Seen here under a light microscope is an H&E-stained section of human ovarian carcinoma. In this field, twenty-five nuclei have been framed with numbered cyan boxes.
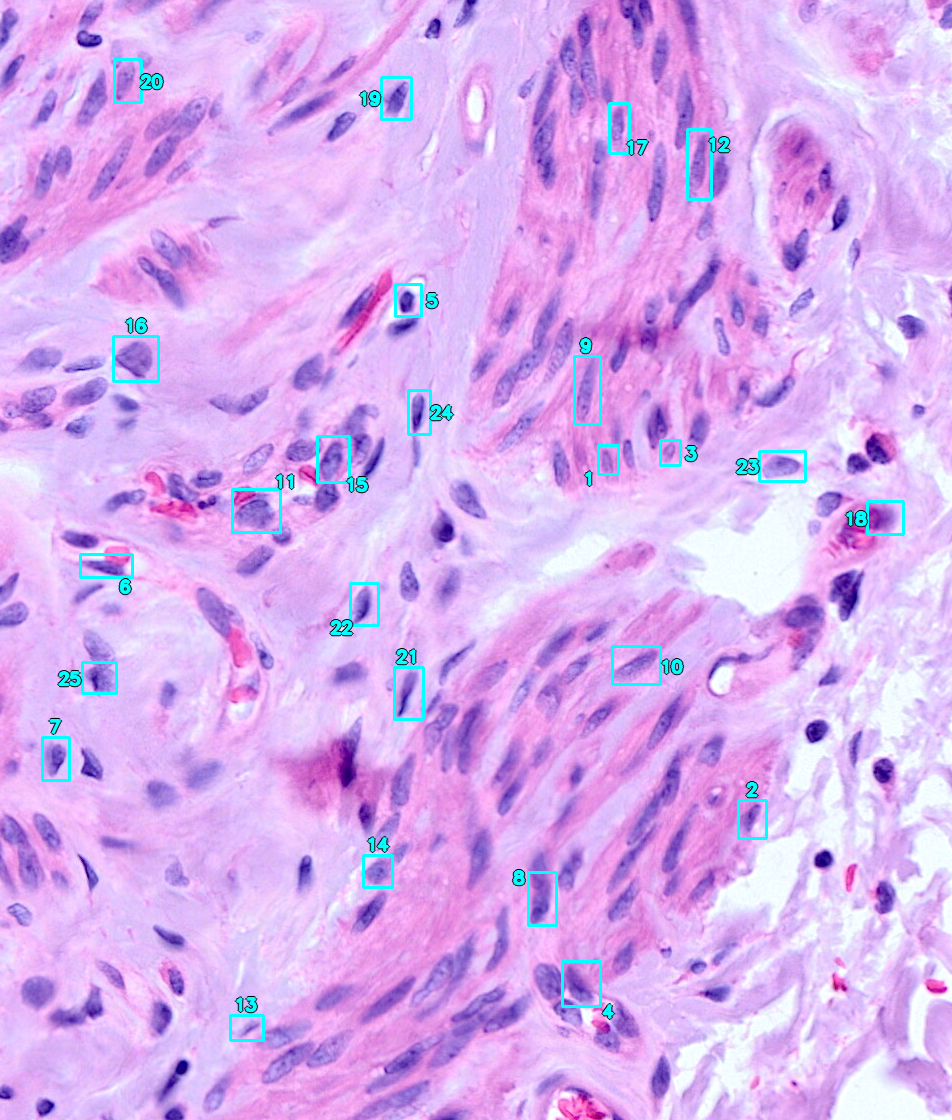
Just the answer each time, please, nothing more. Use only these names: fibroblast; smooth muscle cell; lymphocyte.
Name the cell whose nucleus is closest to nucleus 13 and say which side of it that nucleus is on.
a smooth muscle cell, to the right of nucleus 13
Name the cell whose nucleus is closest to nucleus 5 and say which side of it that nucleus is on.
a fibroblast; below nucleus 5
